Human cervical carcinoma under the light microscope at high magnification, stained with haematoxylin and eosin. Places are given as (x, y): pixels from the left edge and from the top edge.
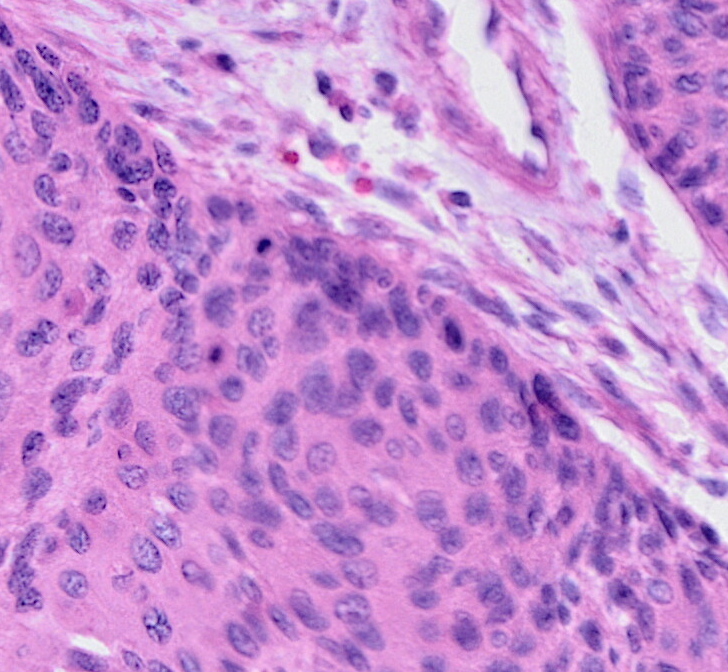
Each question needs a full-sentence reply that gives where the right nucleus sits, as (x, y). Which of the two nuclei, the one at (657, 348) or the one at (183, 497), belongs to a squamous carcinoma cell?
The pair contains one nucleus of a squamous carcinoma cell, namely the one at (183, 497).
